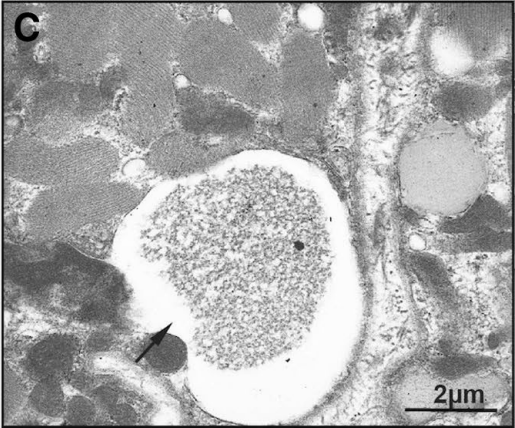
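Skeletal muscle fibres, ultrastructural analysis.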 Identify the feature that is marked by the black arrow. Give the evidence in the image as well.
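The arrow points to a large rounded vacuole with a clear rim. The vacuole holds a mass of small dark granules. Myofibrils and mitochondria lie around it. On this evidence: vacuoles filled with glycogen-storage material.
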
